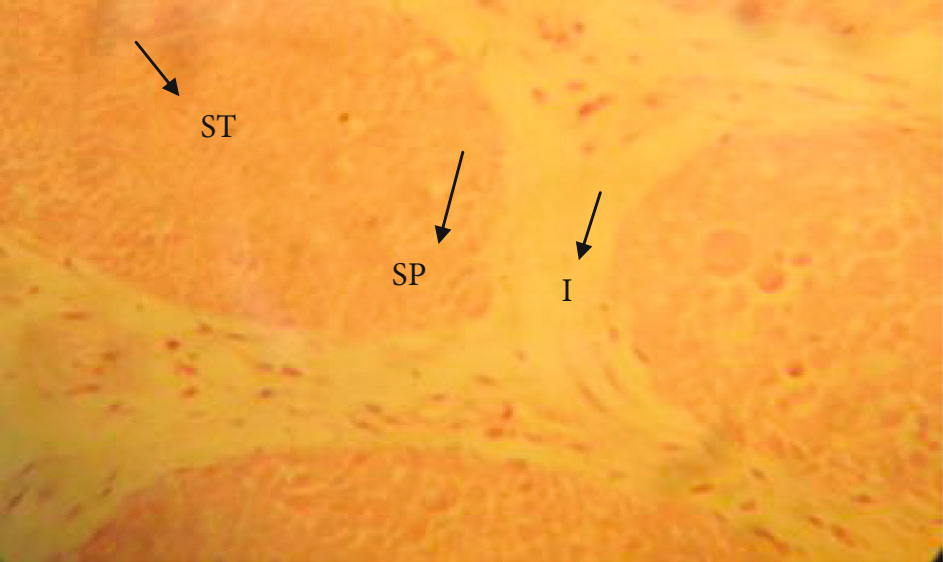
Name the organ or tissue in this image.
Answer: Testis.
